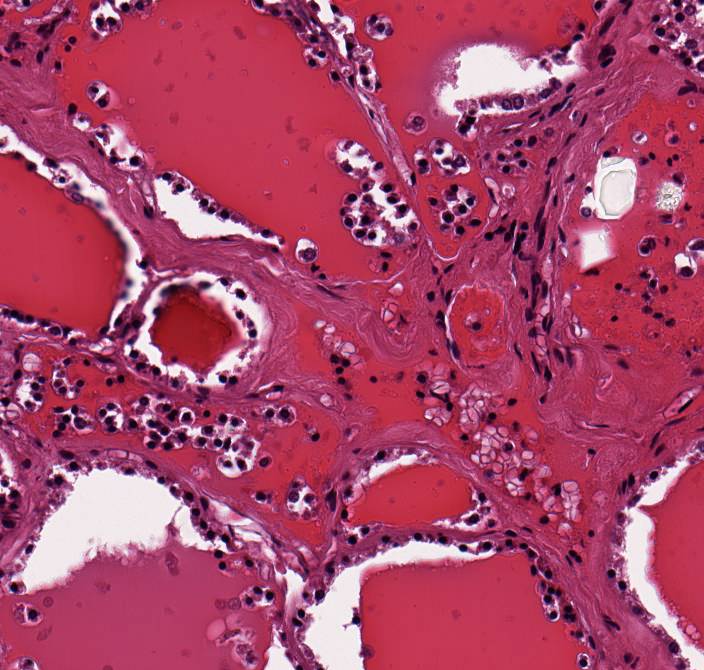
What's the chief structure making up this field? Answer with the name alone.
thyroid follicle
